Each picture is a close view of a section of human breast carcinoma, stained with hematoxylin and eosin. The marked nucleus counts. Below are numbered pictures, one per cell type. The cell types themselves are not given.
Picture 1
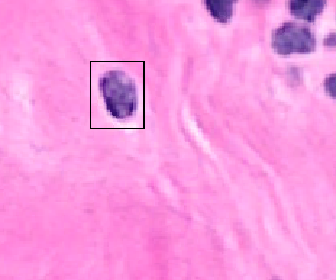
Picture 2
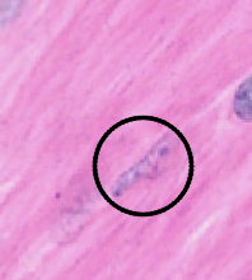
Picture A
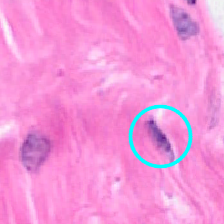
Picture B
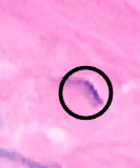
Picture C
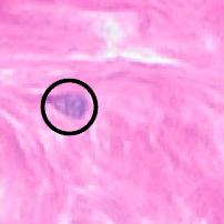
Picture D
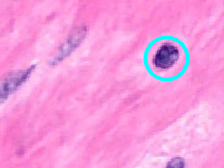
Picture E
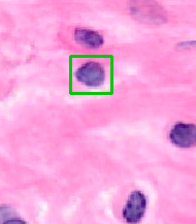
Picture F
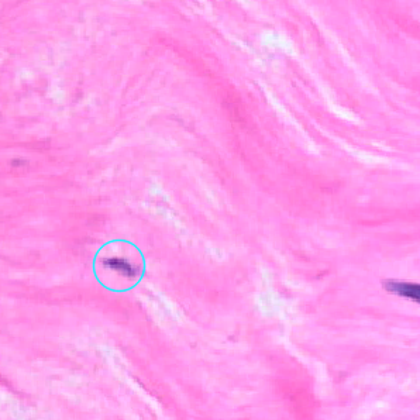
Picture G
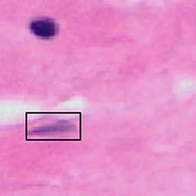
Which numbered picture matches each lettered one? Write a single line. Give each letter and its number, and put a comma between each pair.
A 2, B 2, C 2, D 1, E 1, F 2, G 2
